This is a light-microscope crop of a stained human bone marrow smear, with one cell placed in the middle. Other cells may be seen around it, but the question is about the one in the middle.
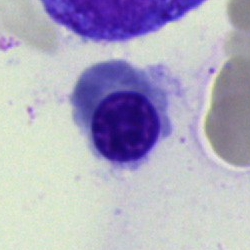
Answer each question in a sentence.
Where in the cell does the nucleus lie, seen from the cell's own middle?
Seen from the middle of the cell, the nucleus lies toward the bottom.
